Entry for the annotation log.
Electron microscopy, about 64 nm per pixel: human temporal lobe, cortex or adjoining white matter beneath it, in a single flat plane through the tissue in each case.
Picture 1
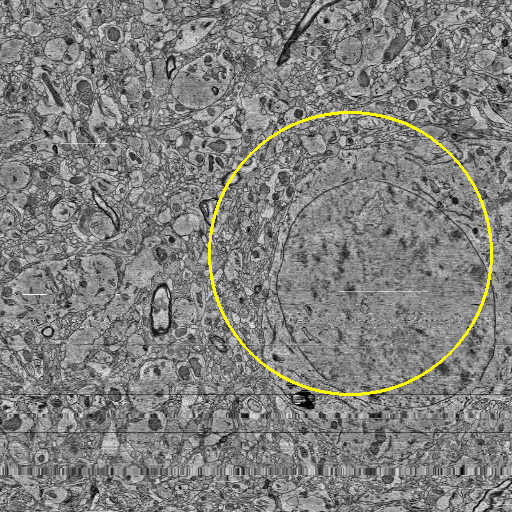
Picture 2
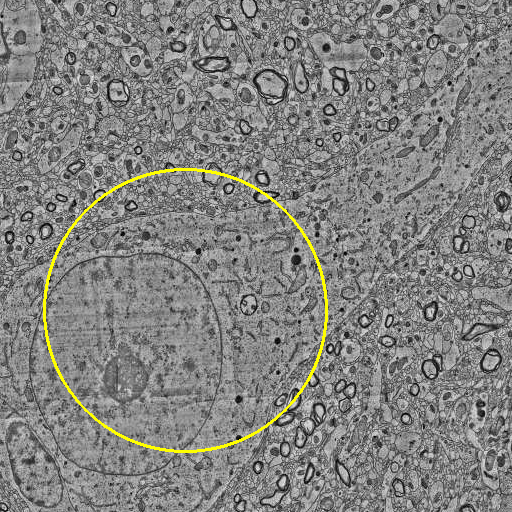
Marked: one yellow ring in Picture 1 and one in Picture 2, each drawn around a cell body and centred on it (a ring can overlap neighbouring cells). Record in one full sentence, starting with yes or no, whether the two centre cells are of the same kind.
Yes, both cells are of the same kind.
